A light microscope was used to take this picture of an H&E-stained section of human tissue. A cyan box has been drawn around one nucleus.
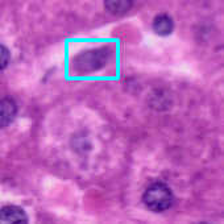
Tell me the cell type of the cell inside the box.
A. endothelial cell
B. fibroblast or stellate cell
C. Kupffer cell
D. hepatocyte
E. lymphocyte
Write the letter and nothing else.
C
